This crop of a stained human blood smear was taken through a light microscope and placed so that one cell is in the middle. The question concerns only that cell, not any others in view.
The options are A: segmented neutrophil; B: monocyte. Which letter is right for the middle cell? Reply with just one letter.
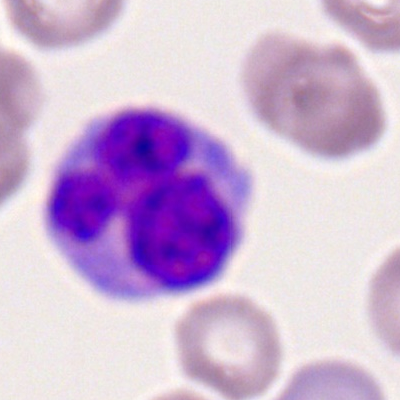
B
